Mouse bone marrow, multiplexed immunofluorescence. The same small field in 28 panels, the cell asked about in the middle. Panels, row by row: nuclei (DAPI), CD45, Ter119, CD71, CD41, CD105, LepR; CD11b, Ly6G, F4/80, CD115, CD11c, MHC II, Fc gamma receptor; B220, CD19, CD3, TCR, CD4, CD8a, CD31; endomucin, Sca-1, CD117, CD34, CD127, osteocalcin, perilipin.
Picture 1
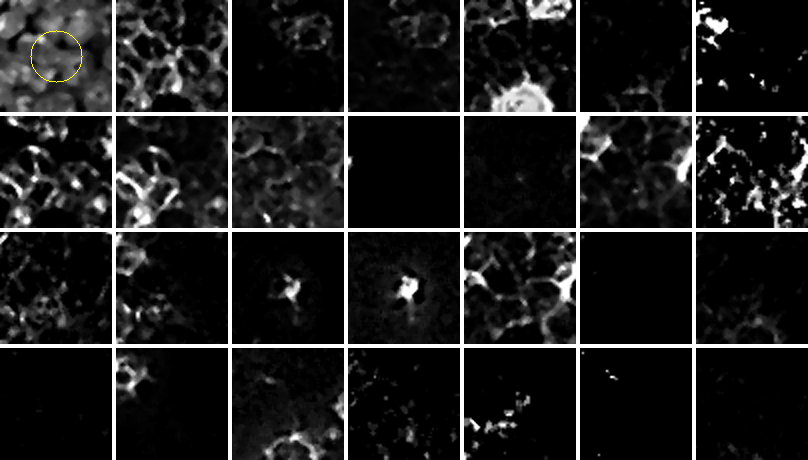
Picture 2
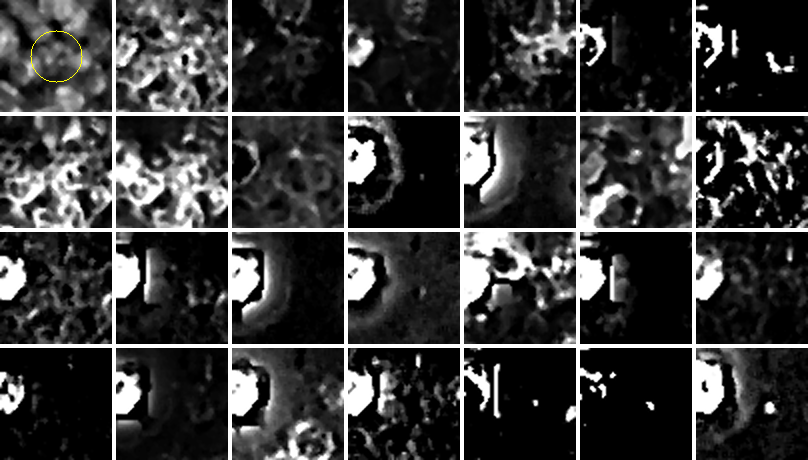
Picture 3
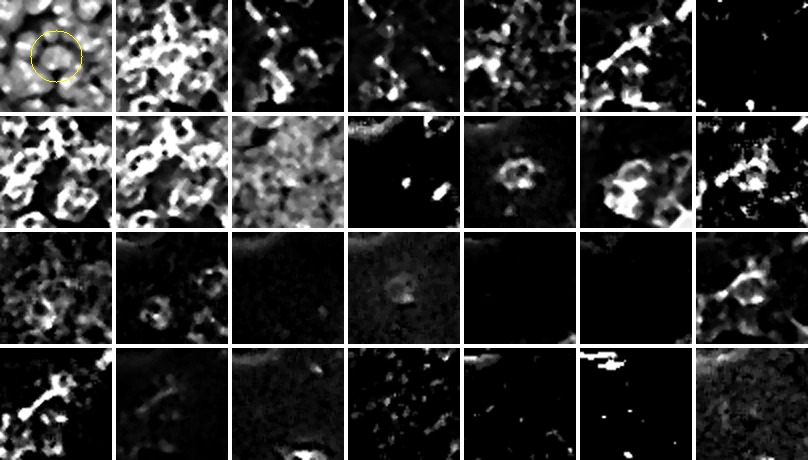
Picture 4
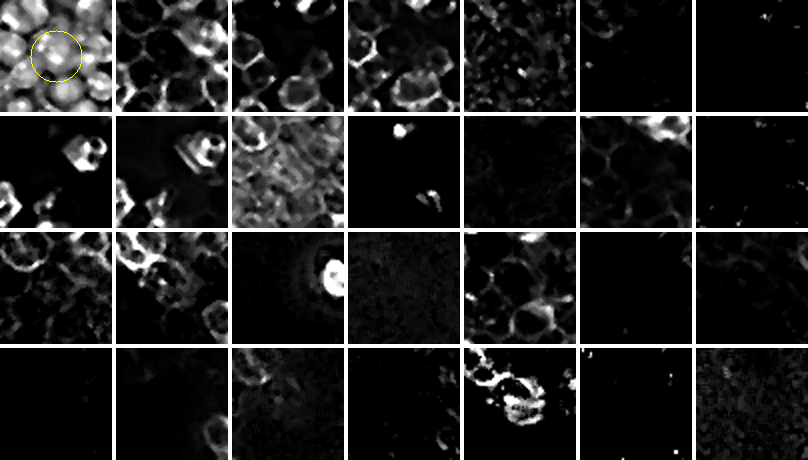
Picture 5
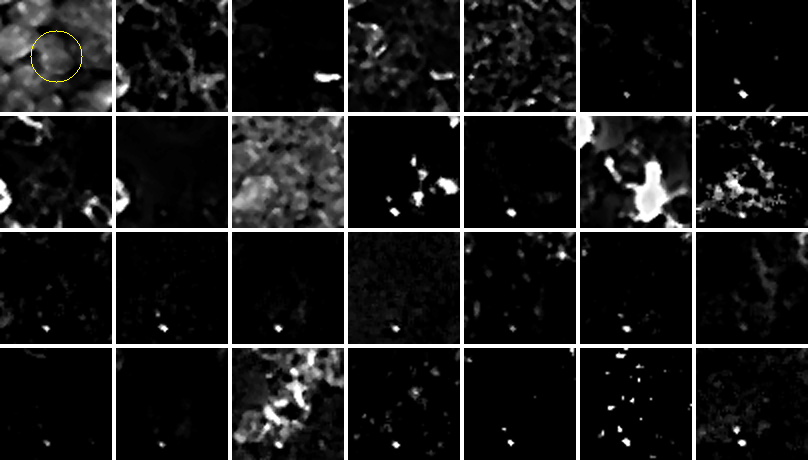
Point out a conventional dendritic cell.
That is picture 3.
